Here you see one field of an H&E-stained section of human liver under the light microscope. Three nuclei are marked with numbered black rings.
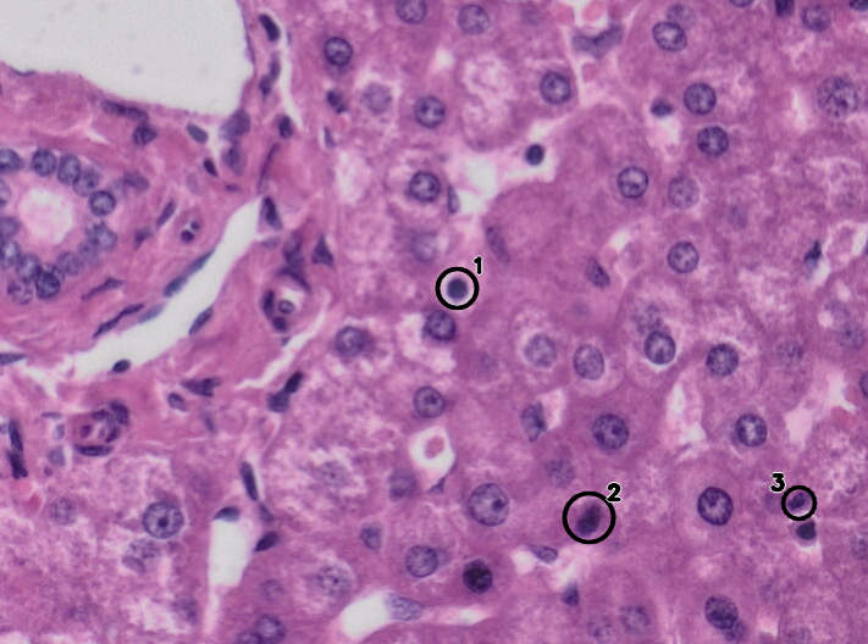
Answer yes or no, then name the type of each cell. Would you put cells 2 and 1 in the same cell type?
No, cell 2 is a fibroblast or stellate cell, and cell 1, on the other hand, is a lymphocyte.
